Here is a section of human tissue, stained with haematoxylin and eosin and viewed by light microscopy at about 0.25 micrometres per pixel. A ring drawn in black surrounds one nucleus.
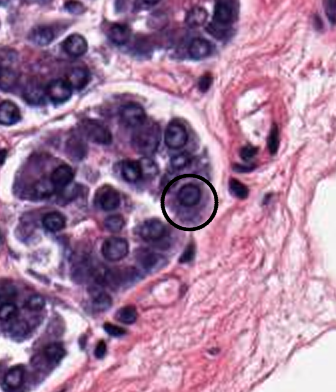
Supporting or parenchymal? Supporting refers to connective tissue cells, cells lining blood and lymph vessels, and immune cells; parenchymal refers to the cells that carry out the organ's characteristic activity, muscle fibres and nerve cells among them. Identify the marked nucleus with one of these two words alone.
parenchymal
